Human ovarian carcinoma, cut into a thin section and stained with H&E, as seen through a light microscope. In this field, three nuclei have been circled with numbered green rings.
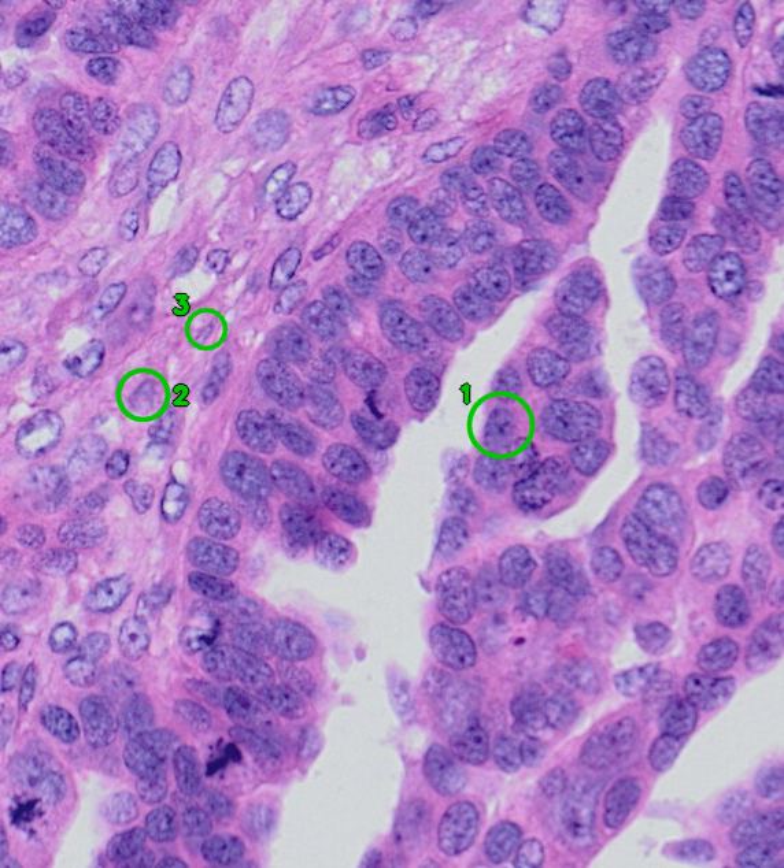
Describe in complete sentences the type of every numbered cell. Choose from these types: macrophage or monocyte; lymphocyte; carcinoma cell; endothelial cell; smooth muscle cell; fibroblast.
Cell 1 is a carcinoma cell, cell 2 is a fibroblast and cell 3 is a fibroblast.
